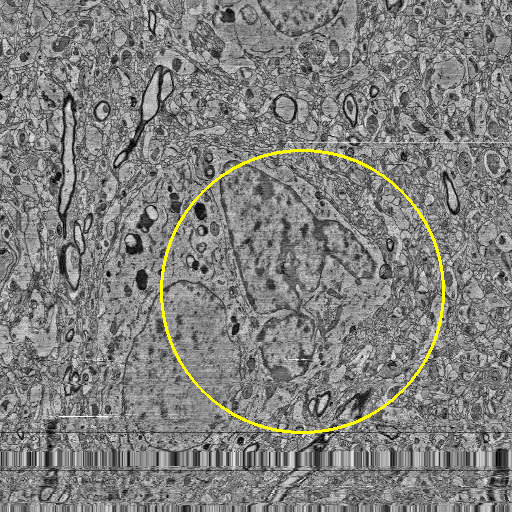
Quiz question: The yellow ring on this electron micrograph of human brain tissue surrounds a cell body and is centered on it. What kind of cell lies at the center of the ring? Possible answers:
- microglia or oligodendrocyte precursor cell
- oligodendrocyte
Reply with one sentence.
The ring's center lies on a microglial cell or oligodendrocyte precursor cell.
